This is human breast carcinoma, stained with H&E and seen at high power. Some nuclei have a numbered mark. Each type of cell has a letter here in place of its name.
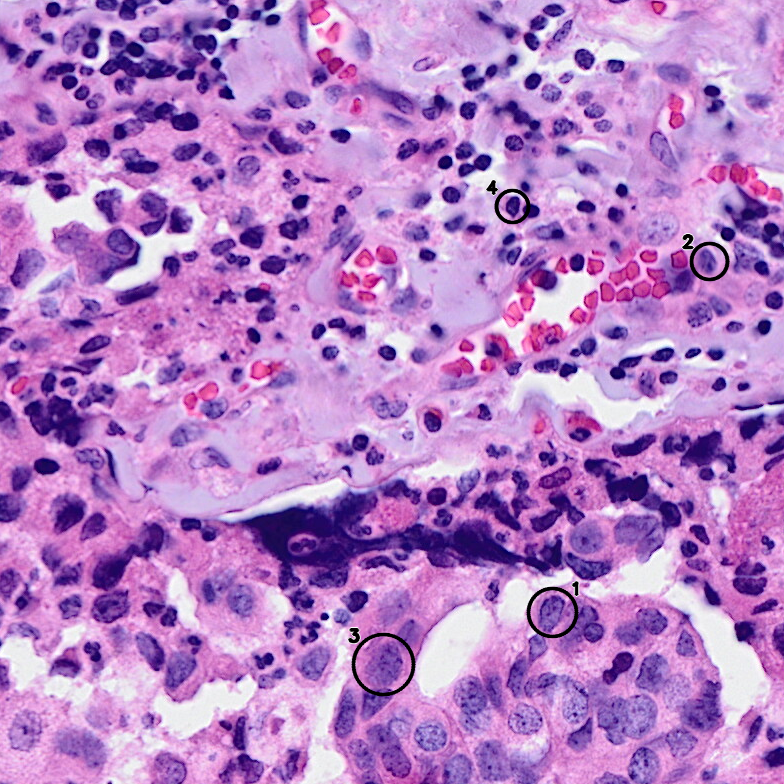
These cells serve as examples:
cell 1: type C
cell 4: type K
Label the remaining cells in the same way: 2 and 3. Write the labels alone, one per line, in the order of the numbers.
type K
type C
